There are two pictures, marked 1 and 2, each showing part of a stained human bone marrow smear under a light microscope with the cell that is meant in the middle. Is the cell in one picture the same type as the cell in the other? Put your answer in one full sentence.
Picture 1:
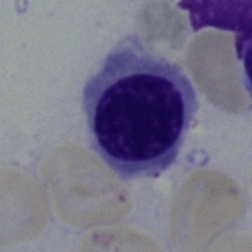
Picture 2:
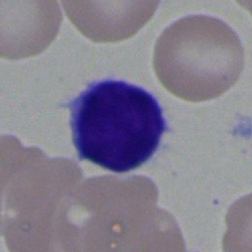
No, the types are not the same, since picture 1 shows an erythroblast and picture 2 a lymphocyte.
